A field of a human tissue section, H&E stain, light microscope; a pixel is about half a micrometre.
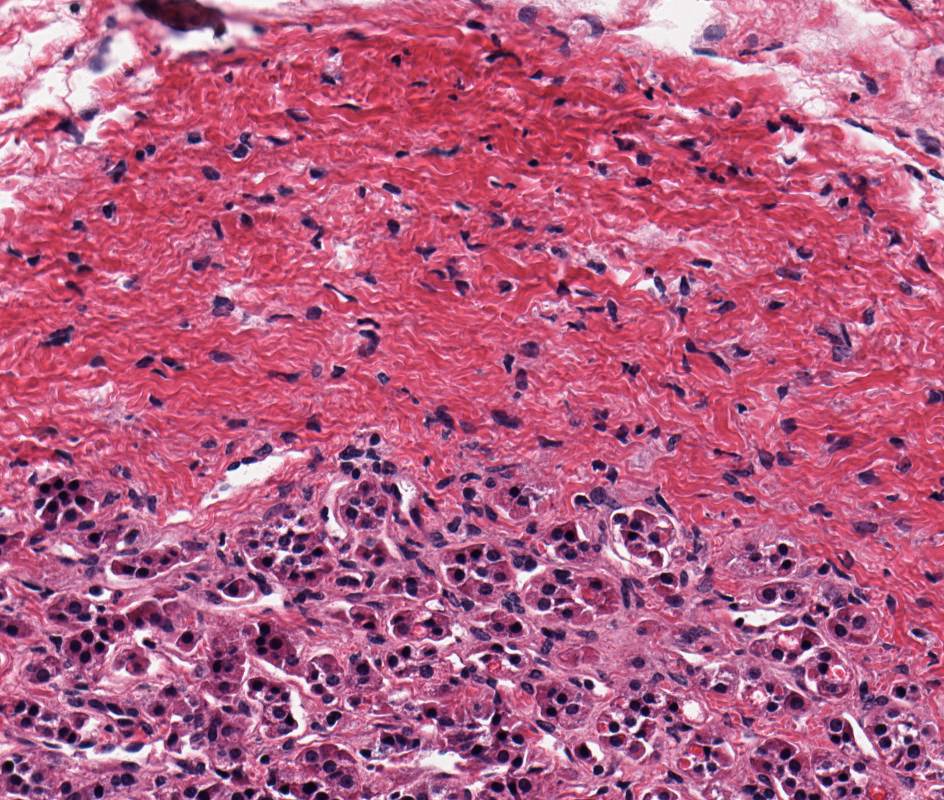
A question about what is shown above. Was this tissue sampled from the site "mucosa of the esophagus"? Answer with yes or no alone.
no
